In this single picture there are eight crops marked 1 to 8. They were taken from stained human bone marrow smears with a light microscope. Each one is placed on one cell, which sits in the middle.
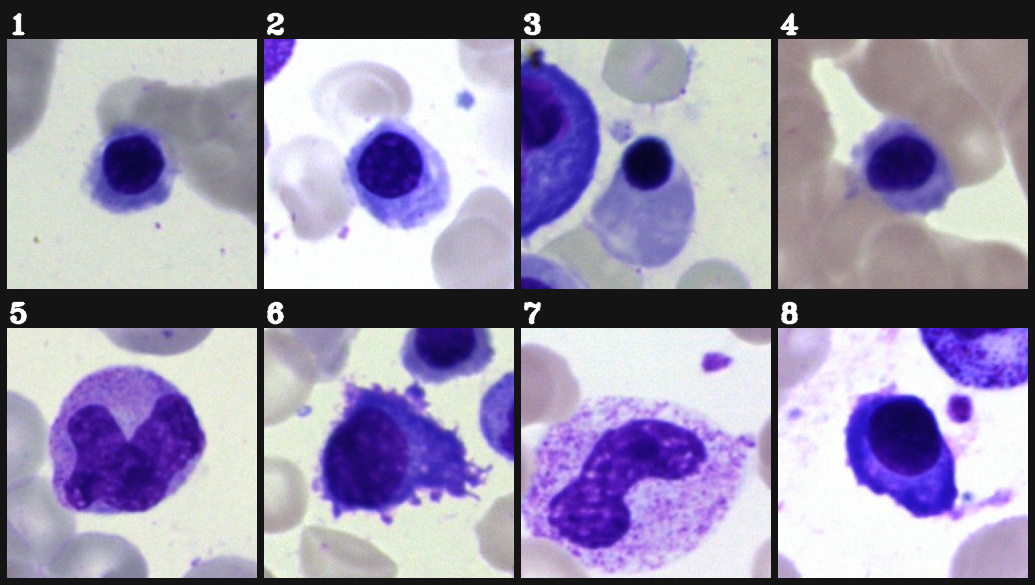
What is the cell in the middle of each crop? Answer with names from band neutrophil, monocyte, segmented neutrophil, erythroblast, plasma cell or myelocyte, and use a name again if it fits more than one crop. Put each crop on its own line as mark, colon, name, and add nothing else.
1: erythroblast
2: erythroblast
3: erythroblast
4: erythroblast
5: monocyte
6: plasma cell
7: band neutrophil
8: plasma cell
